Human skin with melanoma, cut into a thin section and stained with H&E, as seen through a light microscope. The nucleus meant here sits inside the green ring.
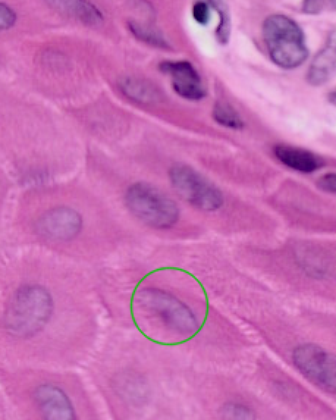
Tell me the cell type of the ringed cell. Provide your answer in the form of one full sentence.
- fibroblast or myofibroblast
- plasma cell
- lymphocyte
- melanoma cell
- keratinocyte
Cytologically, the ringed cell is to be regarded as a keratinocyte.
